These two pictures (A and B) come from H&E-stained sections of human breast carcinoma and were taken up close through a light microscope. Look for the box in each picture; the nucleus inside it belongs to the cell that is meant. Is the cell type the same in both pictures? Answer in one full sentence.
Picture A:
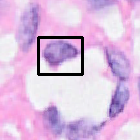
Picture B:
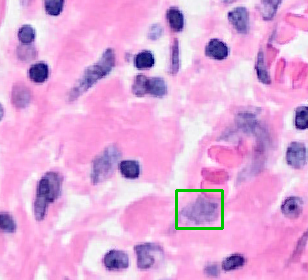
No; the cell in picture A is a carcinoma cell, while the one in picture B is an endothelial cell.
